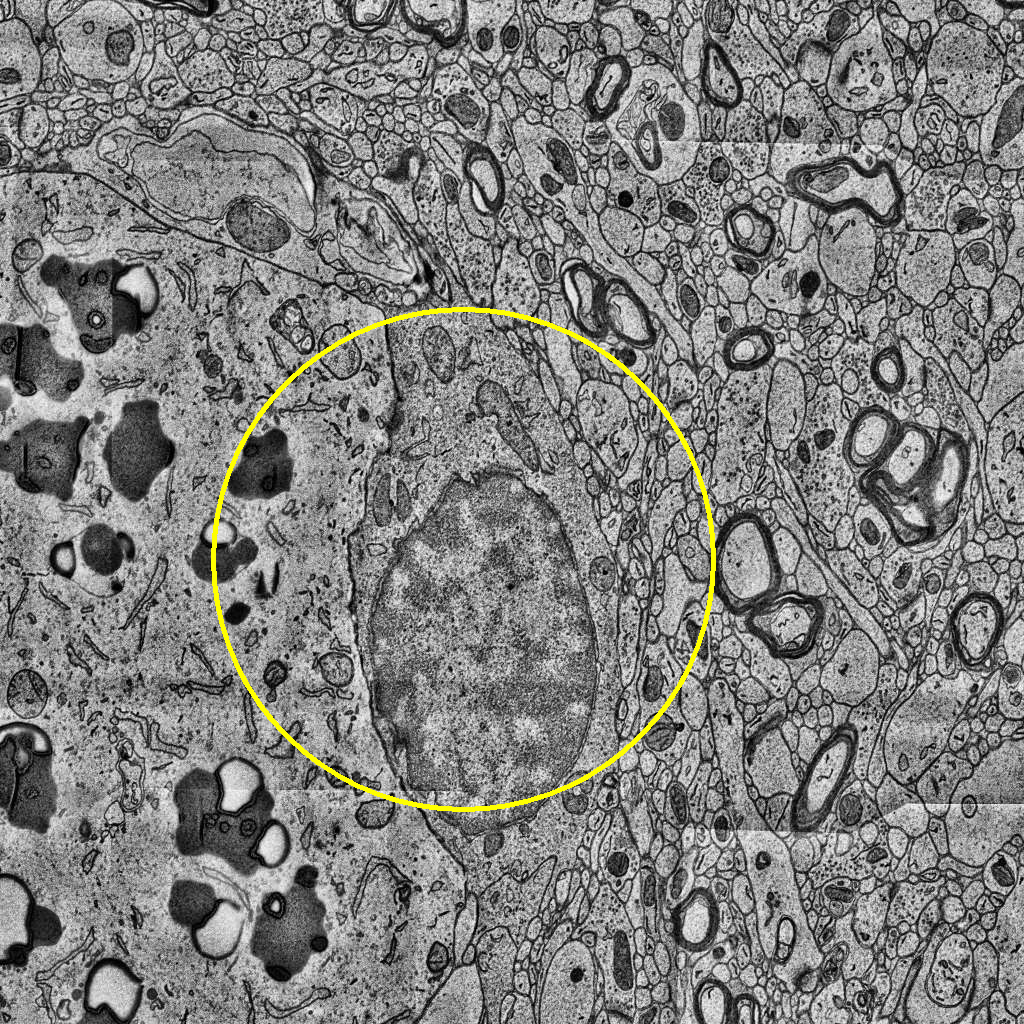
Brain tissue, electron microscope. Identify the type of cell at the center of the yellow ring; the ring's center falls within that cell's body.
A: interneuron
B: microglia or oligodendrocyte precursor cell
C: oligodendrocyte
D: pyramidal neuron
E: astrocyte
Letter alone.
C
